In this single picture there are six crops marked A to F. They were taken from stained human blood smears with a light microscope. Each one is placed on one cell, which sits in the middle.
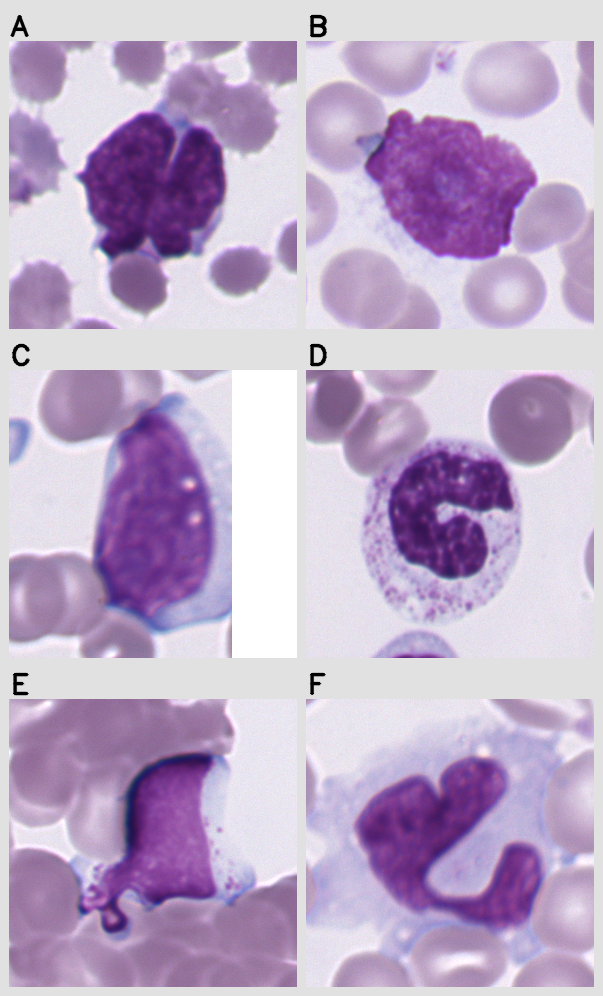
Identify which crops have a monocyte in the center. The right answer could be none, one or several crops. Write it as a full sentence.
Crops A and F have monocytes sitting at their centres.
